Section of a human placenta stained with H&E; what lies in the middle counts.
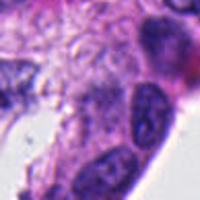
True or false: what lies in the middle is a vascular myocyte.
False; it is a cytotrophoblast.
